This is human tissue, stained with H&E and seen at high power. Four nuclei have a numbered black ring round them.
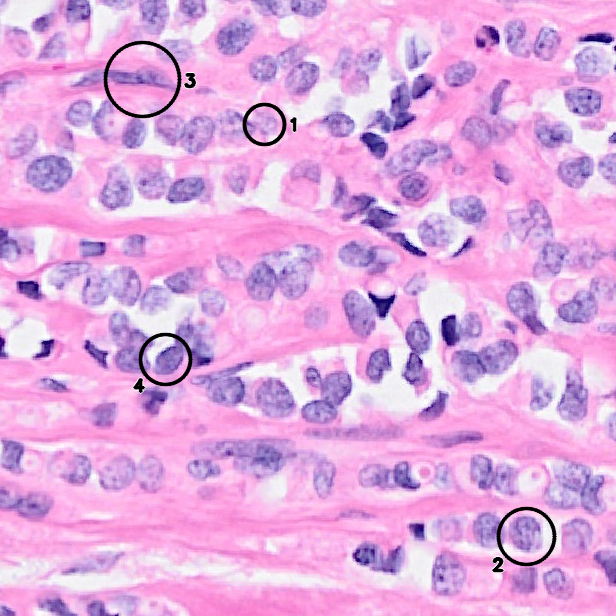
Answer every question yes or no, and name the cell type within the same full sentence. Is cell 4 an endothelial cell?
No, the marked cell 4 is not an endothelial cell, being instead a carcinoma cell.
